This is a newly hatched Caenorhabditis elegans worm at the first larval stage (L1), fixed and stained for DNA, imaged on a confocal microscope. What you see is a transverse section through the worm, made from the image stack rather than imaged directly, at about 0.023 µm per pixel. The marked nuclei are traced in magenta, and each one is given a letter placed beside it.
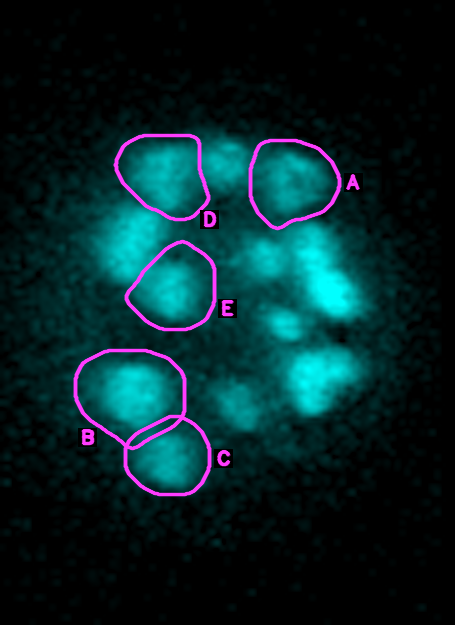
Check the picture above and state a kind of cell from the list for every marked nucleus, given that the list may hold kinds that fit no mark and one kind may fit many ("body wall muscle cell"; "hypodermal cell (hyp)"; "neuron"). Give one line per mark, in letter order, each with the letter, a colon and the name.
A: body wall muscle cell
B: hypodermal cell (hyp)
C: body wall muscle cell
D: body wall muscle cell
E: neuron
